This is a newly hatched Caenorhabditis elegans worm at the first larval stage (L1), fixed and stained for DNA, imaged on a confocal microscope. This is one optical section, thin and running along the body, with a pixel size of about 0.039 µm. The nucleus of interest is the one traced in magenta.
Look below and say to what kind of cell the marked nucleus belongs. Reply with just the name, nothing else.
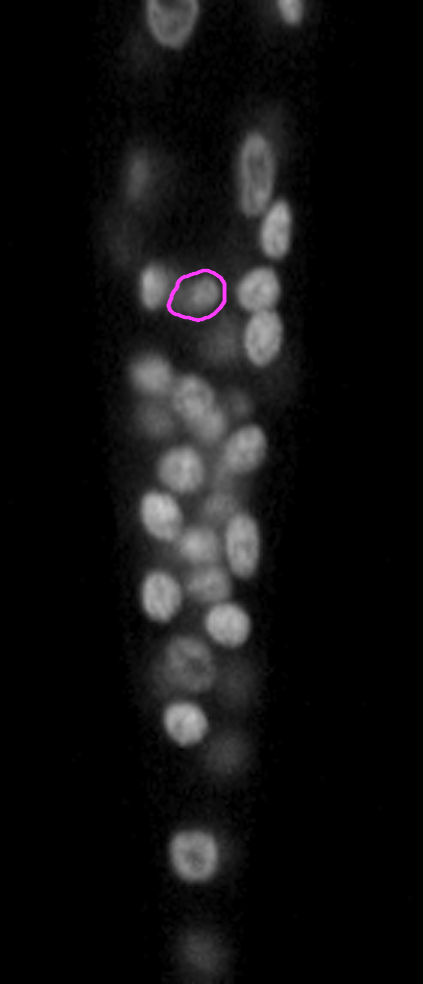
valve cell of the gut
